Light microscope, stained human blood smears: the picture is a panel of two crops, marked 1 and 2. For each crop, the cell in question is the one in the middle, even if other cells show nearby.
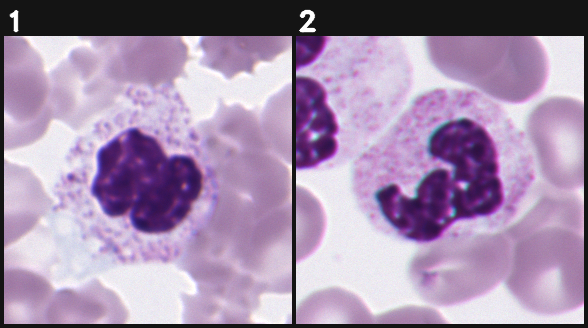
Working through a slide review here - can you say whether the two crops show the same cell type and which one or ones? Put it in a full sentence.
Yes, the two crops both show segmented neutrophils.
